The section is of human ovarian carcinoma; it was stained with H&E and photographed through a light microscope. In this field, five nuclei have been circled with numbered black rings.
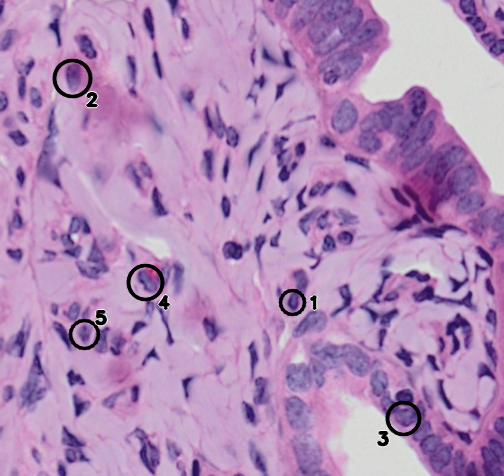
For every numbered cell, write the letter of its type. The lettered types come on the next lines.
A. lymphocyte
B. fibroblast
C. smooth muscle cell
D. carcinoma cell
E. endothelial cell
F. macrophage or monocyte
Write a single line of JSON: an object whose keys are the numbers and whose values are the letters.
{"1": "C", "2": "C", "3": "D", "4": "E", "5": "C"}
